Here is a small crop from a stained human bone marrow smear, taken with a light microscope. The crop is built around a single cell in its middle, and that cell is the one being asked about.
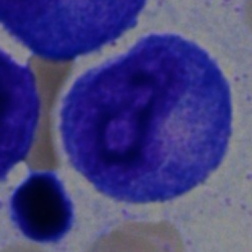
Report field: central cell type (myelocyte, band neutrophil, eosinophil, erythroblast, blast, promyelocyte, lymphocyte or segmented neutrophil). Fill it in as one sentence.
The cell positioned in the middle of the field is a promyelocyte.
